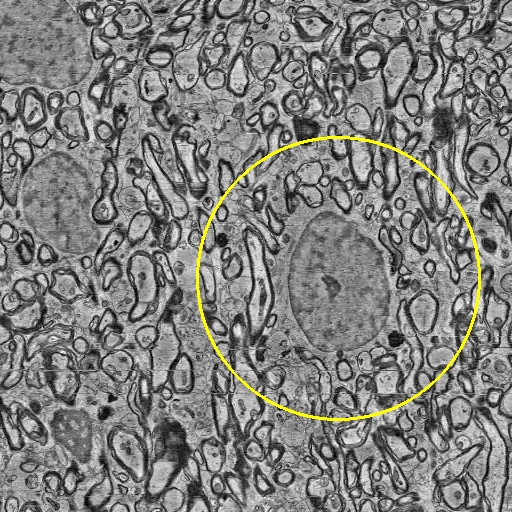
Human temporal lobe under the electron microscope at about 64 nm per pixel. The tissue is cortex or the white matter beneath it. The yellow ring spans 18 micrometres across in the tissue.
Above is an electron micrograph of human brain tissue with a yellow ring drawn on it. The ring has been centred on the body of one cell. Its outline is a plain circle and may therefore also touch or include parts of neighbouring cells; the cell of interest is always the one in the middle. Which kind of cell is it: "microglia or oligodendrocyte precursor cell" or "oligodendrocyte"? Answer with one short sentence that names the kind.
The ring's central cell body is that of an oligodendrocyte.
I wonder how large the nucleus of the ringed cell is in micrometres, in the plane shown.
In this plane the nucleus is about 9 micrometres by 6.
